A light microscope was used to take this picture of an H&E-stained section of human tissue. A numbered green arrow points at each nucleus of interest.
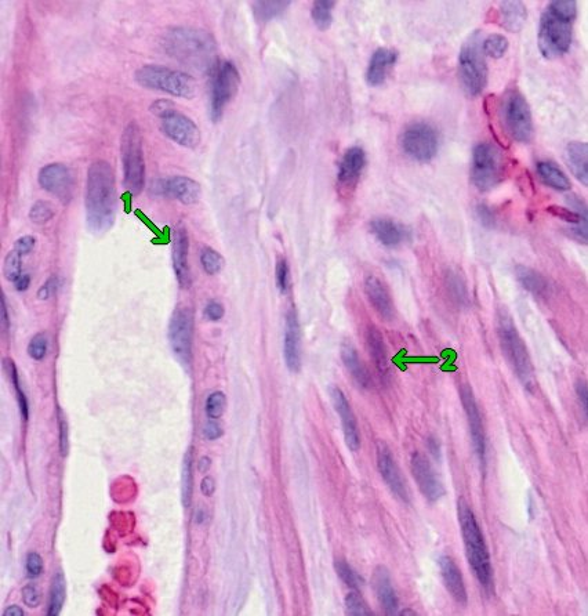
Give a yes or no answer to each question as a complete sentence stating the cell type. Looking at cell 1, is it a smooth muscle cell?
No, it is an endothelial cell, rather than a smooth muscle cell, that carries number 1.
